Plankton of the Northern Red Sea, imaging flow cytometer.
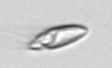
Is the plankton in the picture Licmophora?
No, it is Kapelodinium.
